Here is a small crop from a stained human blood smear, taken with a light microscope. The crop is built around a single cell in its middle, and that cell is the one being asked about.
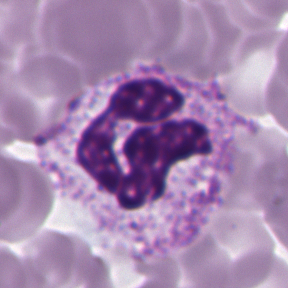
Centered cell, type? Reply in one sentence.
The cell under consideration, at the middle of the crop, is a segmented neutrophil.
